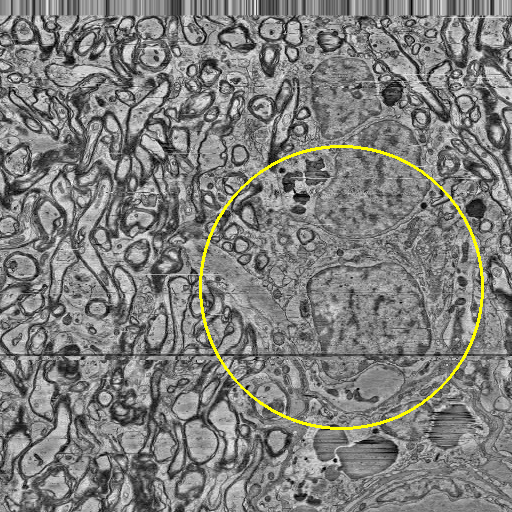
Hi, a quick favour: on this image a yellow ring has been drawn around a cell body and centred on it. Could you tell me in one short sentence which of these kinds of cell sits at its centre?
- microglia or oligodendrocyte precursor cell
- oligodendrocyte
The ring is centred on a microglial cell or oligodendrocyte precursor cell.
